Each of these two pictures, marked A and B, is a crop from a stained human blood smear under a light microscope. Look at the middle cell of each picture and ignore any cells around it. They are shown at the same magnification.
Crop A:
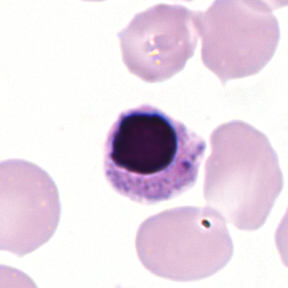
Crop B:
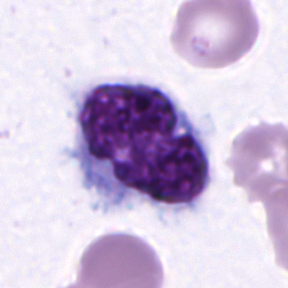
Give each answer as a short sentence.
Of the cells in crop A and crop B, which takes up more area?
Larger is the cell in crop B, at roughly 2 times the area of the other.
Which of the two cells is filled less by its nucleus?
The nucleus fills less of the cell in crop A than in crop B.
